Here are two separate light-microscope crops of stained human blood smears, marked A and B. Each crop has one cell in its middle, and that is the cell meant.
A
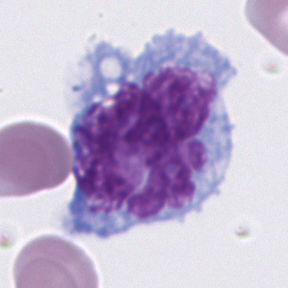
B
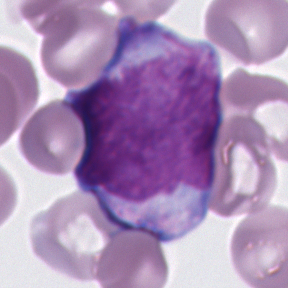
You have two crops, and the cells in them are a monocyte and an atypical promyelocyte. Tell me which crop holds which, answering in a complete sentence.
Crop A contains a monocyte, and crop B, an atypical promyelocyte.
